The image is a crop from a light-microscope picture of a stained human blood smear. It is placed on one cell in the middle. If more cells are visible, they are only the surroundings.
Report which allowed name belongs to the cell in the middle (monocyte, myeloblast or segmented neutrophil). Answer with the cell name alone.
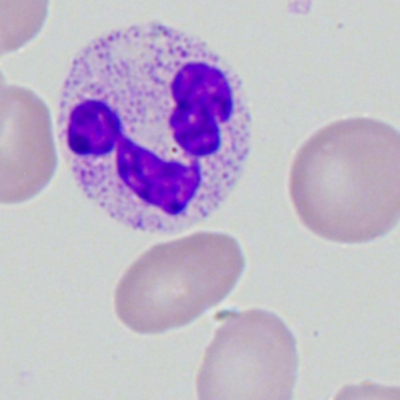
segmented neutrophil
